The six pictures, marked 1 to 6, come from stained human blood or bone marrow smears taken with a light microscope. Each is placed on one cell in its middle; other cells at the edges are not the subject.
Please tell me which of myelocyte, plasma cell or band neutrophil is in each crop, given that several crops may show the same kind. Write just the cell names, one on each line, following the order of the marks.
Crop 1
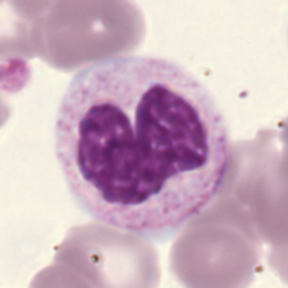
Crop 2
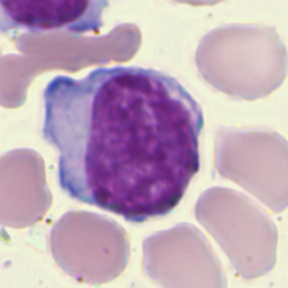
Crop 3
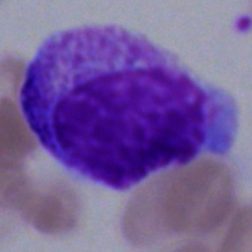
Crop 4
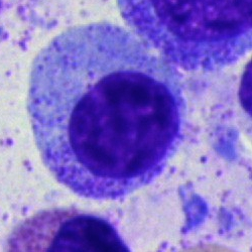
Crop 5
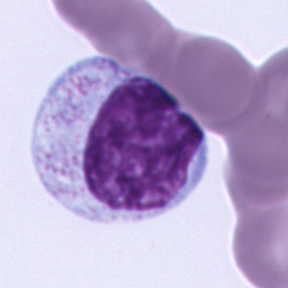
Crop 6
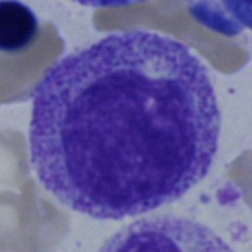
band neutrophil
plasma cell
myelocyte
myelocyte
myelocyte
myelocyte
